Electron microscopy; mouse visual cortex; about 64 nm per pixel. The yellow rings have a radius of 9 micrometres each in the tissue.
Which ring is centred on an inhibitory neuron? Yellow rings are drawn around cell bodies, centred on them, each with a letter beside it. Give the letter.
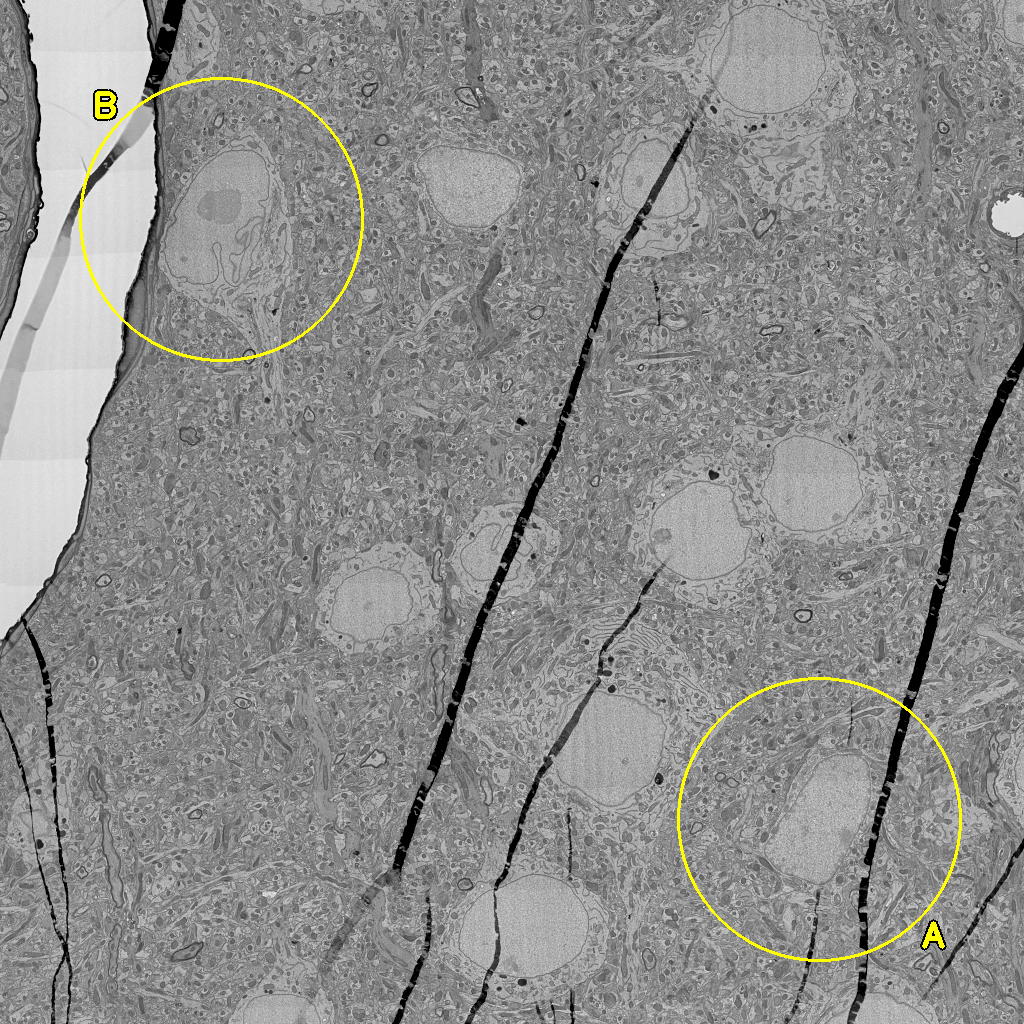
B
